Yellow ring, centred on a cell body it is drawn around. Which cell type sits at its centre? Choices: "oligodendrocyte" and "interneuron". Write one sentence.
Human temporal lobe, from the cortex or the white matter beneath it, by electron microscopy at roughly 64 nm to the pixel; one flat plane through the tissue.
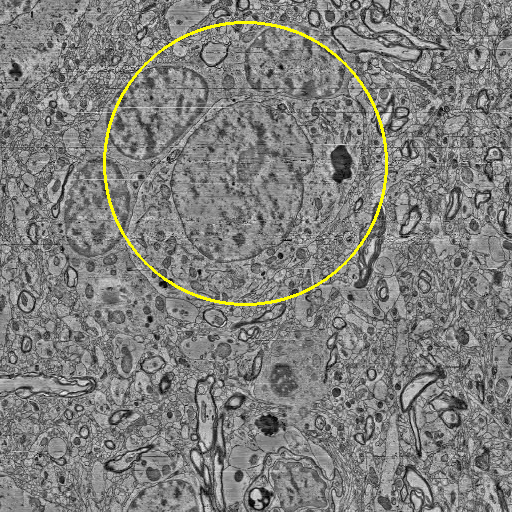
At the centre of the ring sits an interneuron.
